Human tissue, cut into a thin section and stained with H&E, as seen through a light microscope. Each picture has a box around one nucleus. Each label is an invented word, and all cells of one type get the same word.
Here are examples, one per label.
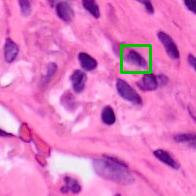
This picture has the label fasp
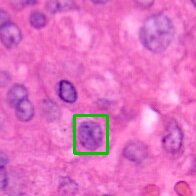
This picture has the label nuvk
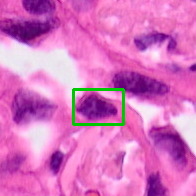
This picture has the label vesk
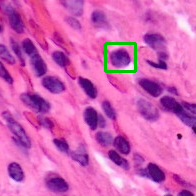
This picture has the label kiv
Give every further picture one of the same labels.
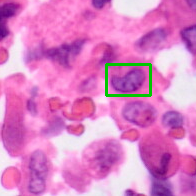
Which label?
nuvk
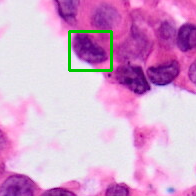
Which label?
vesk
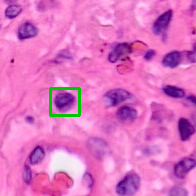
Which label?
kiv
